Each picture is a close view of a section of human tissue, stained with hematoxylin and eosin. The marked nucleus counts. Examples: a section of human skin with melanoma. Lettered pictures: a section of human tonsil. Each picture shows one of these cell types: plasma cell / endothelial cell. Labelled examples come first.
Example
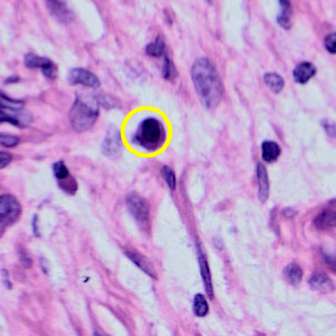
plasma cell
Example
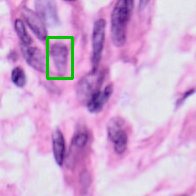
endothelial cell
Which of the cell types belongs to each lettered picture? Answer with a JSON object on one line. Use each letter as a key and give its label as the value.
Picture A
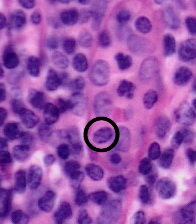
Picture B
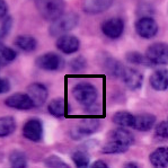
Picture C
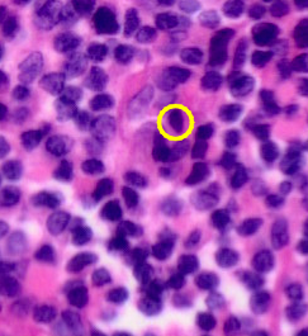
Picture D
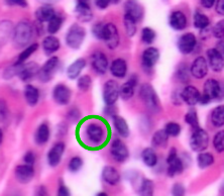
{"A": "endothelial cell", "B": "plasma cell", "C": "endothelial cell", "D": "plasma cell"}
